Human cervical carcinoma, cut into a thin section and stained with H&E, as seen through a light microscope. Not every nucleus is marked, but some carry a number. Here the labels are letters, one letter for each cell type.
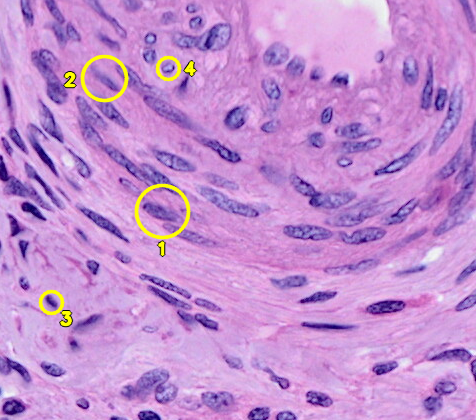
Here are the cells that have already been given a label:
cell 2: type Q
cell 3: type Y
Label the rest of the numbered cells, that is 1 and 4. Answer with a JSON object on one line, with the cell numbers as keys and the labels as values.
{"1": "type Q", "4": "type Q"}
